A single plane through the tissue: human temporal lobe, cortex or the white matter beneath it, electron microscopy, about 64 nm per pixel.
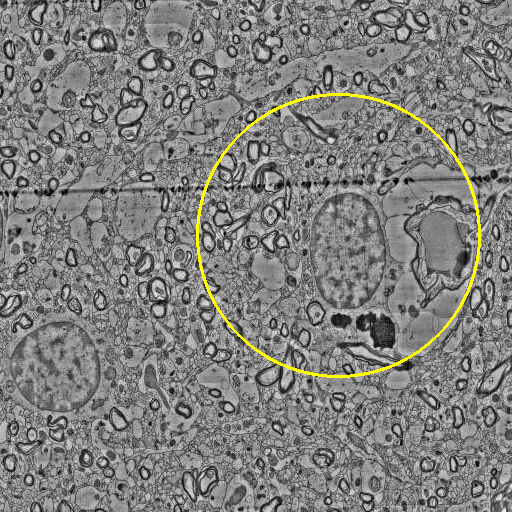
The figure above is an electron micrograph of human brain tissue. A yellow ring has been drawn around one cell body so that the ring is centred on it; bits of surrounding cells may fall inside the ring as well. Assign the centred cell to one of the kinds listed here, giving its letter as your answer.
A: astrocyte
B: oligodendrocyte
B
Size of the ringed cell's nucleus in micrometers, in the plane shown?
About 7 by 5 micrometres in this plane.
